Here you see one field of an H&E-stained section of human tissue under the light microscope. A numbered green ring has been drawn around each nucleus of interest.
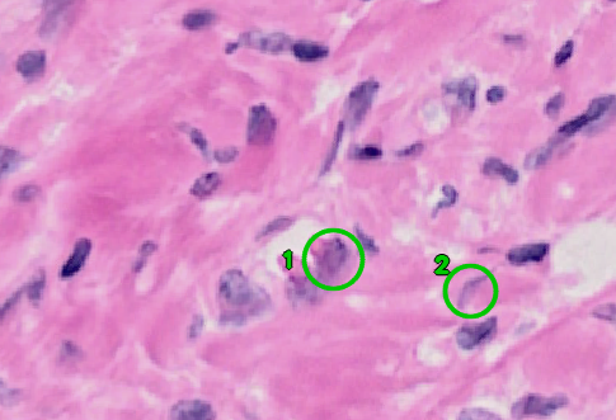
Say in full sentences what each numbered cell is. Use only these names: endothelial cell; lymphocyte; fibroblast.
Cell 1 is an endothelial cell. Cell 2 is a fibroblast.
